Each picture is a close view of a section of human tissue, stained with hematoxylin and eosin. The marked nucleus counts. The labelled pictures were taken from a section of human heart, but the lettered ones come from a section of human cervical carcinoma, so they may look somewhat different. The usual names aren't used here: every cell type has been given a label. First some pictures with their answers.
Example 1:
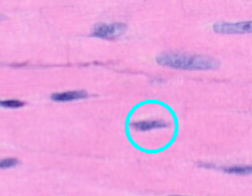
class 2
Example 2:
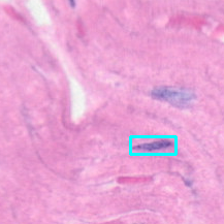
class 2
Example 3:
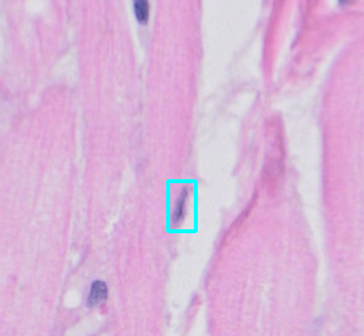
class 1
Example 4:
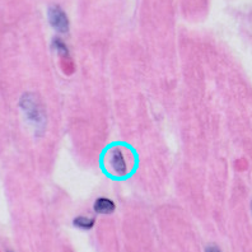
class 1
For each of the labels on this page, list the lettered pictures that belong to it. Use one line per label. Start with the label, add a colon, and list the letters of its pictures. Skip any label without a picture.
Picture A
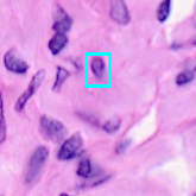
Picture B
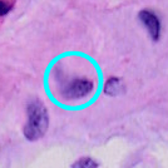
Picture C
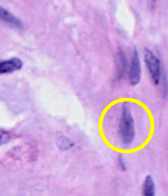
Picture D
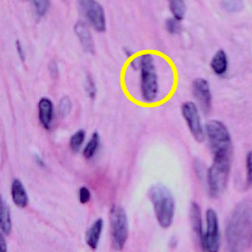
class 1: A, B, C, D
